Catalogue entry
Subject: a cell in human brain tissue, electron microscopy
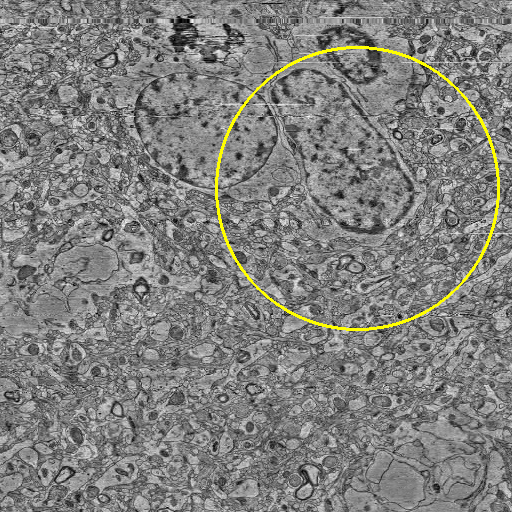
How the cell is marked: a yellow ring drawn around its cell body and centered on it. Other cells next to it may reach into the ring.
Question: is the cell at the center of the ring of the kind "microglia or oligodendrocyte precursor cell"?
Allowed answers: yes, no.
yes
